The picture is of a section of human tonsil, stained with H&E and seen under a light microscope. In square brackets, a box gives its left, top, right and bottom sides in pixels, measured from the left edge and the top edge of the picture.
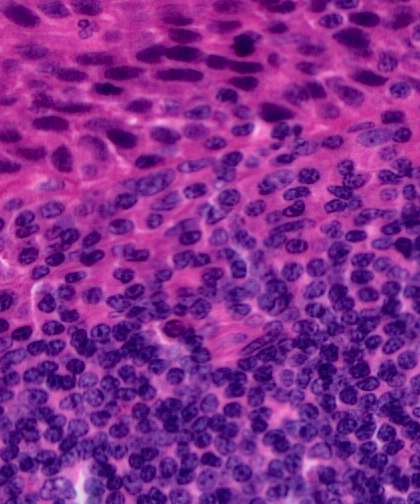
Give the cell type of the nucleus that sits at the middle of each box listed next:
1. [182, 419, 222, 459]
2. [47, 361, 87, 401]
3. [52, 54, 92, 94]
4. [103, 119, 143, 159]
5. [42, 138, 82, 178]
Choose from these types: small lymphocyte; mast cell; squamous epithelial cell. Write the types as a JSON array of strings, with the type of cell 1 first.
["small lymphocyte", "small lymphocyte", "squamous epithelial cell", "squamous epithelial cell", "squamous epithelial cell"]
